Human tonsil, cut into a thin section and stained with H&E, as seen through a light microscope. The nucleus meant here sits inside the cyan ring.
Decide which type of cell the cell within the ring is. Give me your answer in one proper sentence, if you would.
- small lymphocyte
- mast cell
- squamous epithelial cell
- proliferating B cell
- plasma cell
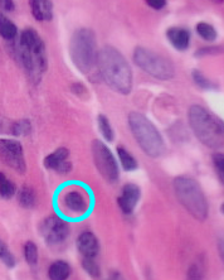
The classification of the cell within the ring is as a mast cell.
